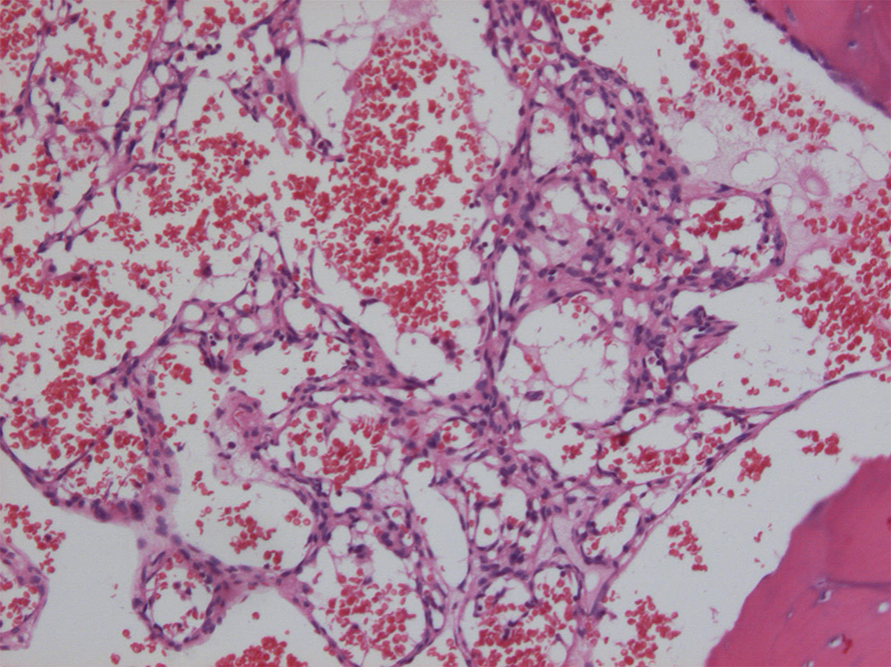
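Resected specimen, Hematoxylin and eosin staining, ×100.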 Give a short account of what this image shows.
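This is a lesion made of many dilated, thin-walled sinusoidal channels packed with erythrocytes, which appear as small bright red round bodies without nuclei. The channels are irregular in size and shape and form an interconnecting network separated by delicate pink septa. Dense pink tissue lies at the upper and lower right corners, beside the channels.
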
